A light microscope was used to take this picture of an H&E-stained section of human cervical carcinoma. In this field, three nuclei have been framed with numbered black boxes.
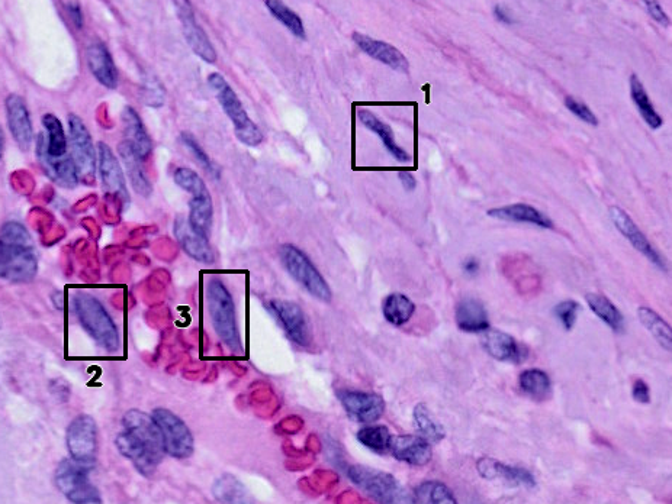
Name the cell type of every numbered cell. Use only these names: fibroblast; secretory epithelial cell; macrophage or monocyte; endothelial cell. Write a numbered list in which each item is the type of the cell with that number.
1. fibroblast
2. endothelial cell
3. endothelial cell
